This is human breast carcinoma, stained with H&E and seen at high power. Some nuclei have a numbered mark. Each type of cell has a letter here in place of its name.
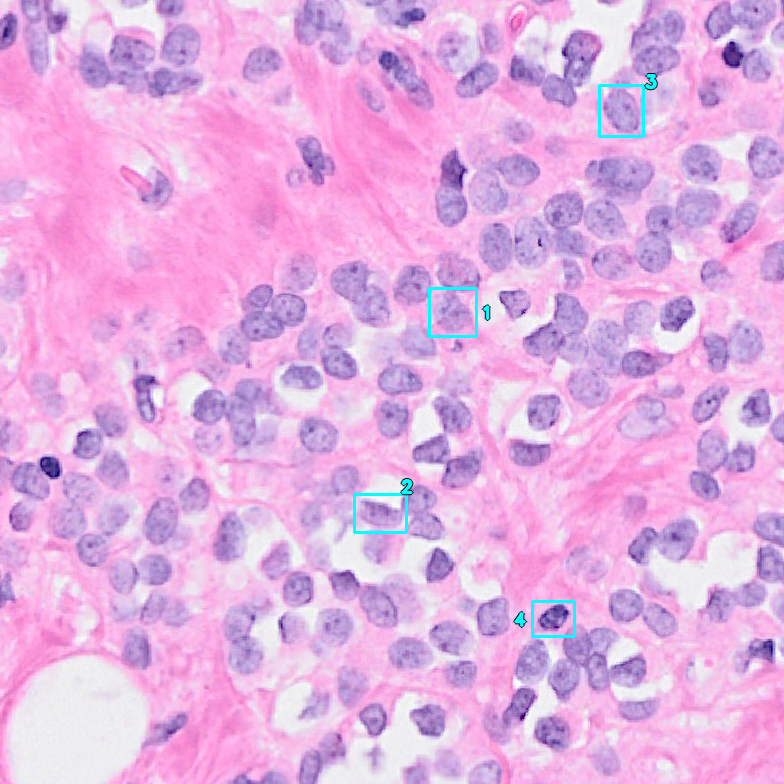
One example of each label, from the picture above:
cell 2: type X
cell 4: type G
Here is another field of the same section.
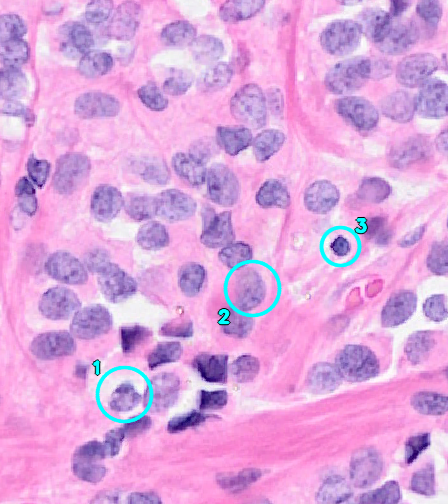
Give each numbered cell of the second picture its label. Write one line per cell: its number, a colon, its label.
1: type X
2: type X
3: type G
